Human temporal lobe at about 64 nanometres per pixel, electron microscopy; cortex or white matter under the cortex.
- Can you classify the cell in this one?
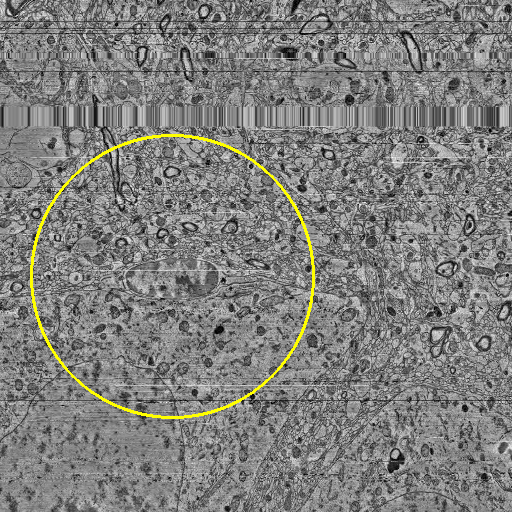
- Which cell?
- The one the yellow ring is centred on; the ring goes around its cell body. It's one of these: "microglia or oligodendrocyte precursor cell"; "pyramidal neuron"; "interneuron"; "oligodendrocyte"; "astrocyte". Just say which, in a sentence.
The cell body in the ring belongs to a microglial cell or oligodendrocyte precursor cell.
